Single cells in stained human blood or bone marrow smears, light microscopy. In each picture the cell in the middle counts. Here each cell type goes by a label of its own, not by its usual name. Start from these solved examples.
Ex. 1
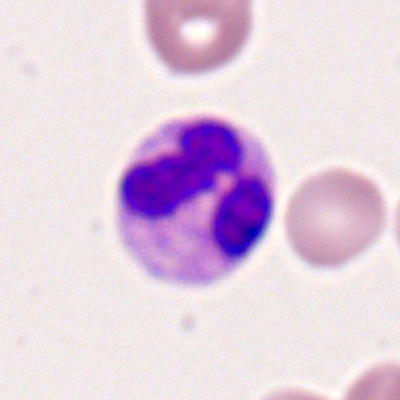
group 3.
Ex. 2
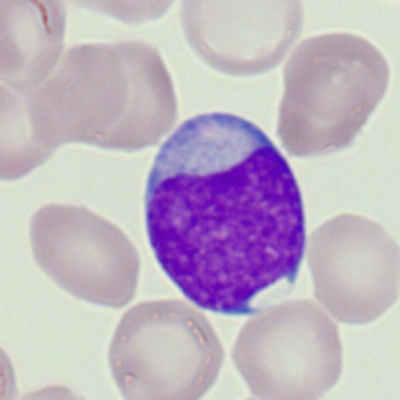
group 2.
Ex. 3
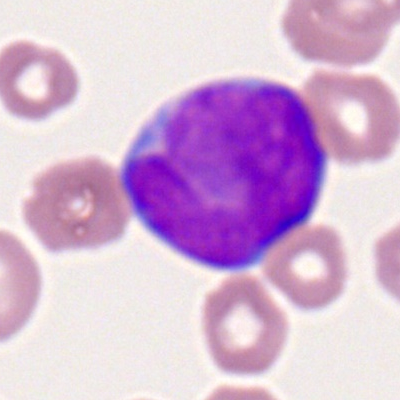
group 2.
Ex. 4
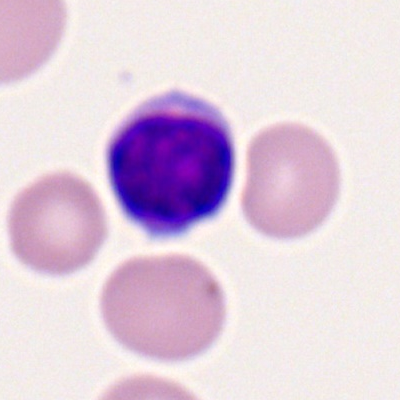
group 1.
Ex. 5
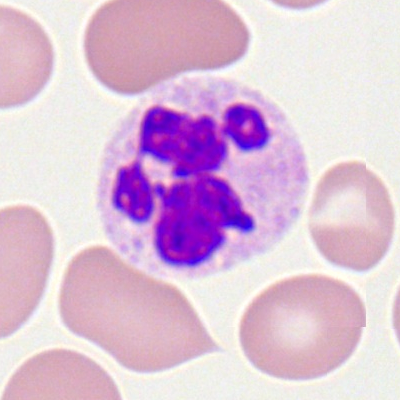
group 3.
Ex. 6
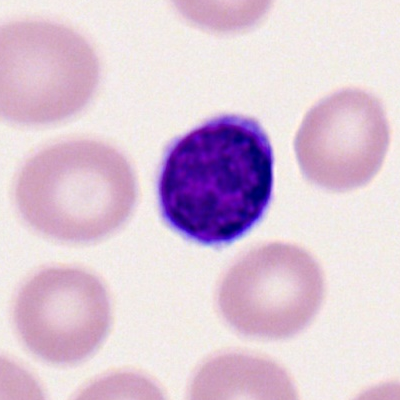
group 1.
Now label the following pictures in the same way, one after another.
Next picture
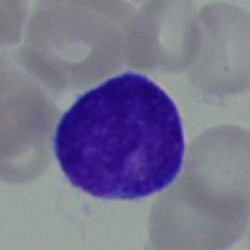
group 2.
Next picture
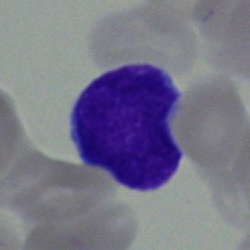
group 2.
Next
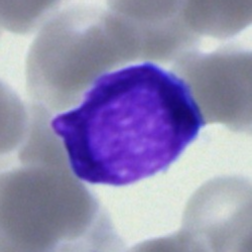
group 2.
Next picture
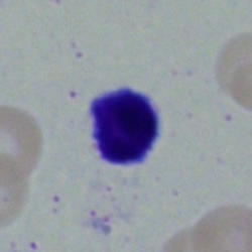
group 1.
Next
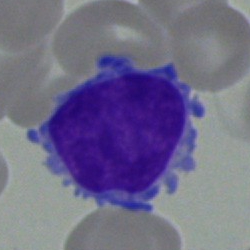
group 2.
